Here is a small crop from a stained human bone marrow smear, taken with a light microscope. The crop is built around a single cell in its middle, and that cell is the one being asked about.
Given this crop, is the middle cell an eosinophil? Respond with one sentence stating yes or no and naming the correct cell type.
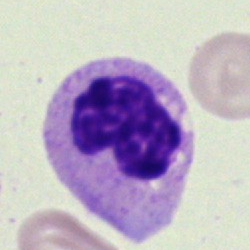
No, looking at the central cell, it is a neutrophil rather than an eosinophil.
